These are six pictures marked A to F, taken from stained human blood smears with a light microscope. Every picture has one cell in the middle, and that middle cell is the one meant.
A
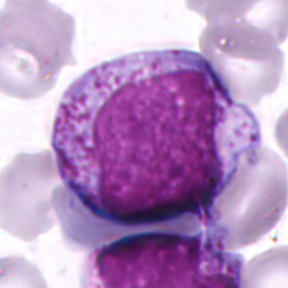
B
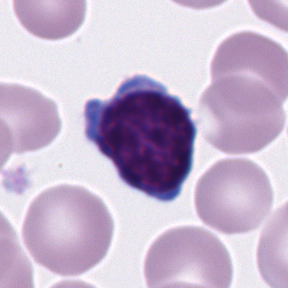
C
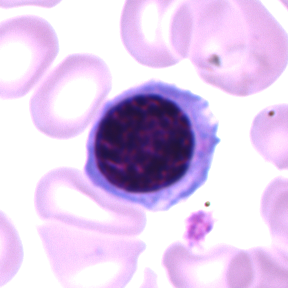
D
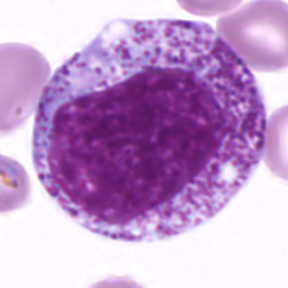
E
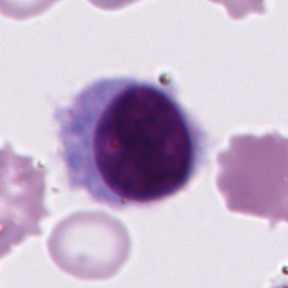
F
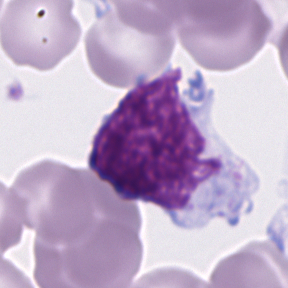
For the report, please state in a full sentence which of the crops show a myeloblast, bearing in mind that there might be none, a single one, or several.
It is not the case that any crop shows a myeloblast.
